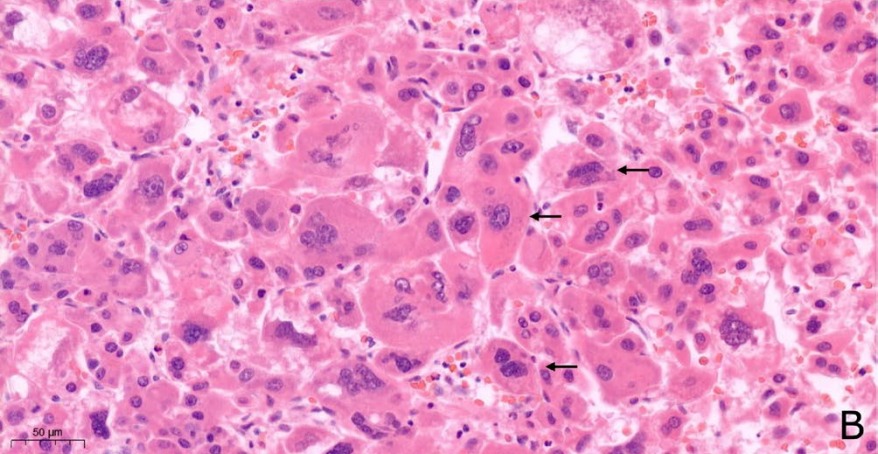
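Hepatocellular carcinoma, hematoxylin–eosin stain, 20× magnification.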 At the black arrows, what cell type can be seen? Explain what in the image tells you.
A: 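Large multinucleated cells. Large cells with abundant pink cytoplasm. Several nuclei are clustered within single large cells.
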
